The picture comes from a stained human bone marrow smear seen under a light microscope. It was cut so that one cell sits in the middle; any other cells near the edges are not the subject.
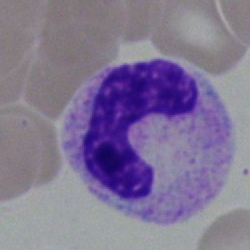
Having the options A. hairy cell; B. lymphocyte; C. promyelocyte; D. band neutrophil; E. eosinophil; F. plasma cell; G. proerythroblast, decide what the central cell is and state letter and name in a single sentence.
The cell centered in the crop is a band neutrophil, making option D the correct pick.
